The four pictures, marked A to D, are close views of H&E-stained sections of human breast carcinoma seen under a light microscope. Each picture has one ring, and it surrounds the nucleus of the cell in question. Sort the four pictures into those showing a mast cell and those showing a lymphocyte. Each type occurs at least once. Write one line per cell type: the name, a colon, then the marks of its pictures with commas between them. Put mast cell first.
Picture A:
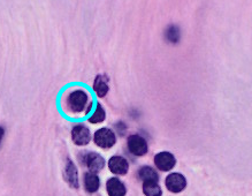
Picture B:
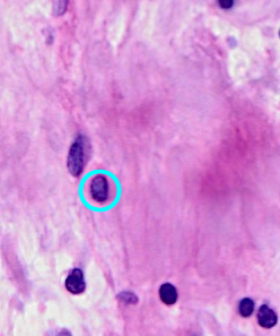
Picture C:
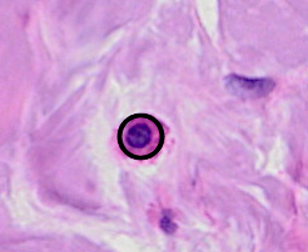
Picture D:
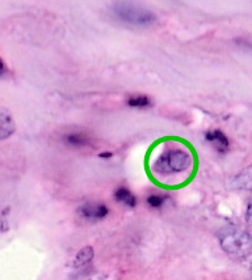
mast cell: B, C, D
lymphocyte: A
